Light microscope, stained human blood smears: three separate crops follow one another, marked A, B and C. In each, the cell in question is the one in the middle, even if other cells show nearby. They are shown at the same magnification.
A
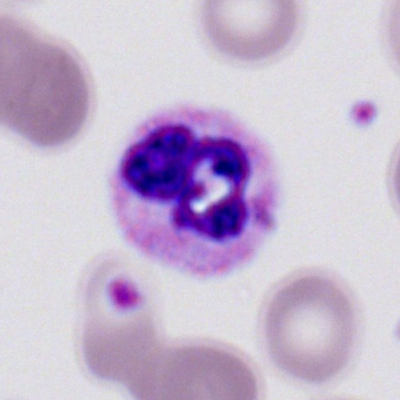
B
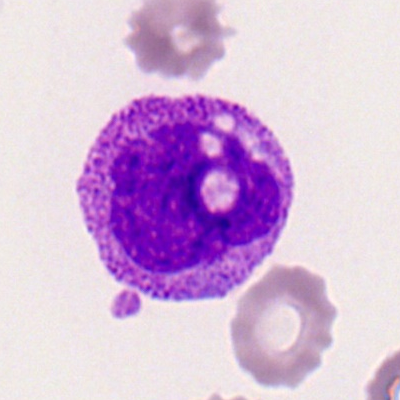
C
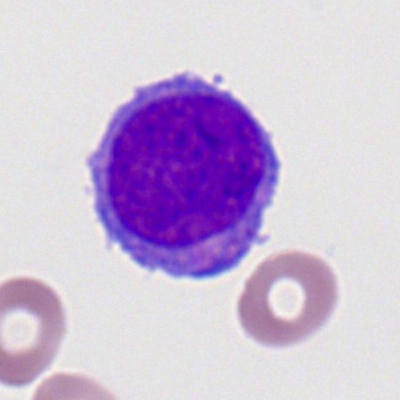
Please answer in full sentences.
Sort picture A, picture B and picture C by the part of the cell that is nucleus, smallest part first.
The least filled comes first: A, B, C.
